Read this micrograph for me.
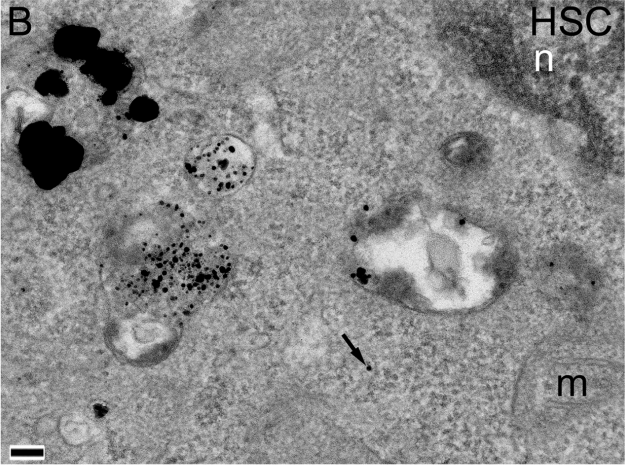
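A region of cytoplasm beside the nucleus is shown at high magnification, with several membrane-bound vesicles holding clusters of small, very electron-dense particles, and large black aggregates at the upper left. A single dense particle lies free in the cytoplasm, and the edge of the nucleus lies at the upper right with a mitochondrion at the lower right.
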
